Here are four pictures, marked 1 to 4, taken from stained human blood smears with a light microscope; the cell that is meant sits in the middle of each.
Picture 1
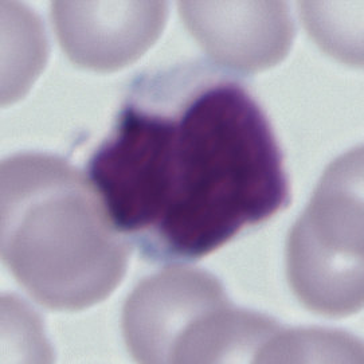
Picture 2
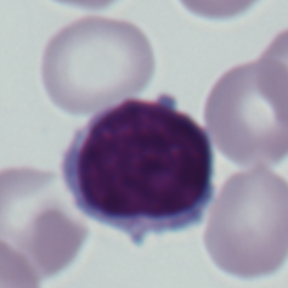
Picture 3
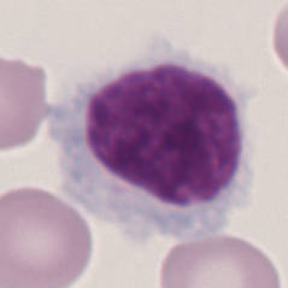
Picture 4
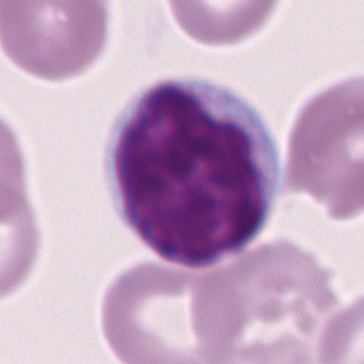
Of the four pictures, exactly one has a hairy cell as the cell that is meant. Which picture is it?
3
